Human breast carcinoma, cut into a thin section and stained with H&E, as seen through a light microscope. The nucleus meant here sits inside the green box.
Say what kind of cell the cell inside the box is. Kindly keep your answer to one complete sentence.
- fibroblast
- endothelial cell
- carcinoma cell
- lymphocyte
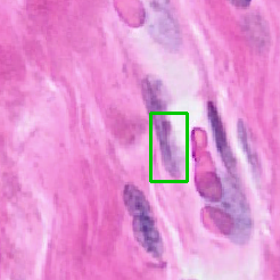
In the stained section, the cell inside the box is an endothelial cell.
